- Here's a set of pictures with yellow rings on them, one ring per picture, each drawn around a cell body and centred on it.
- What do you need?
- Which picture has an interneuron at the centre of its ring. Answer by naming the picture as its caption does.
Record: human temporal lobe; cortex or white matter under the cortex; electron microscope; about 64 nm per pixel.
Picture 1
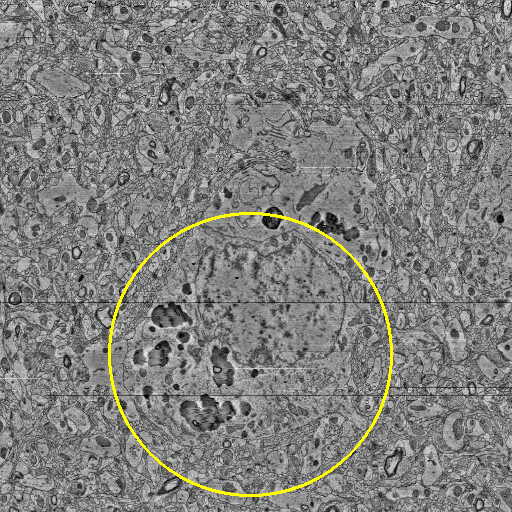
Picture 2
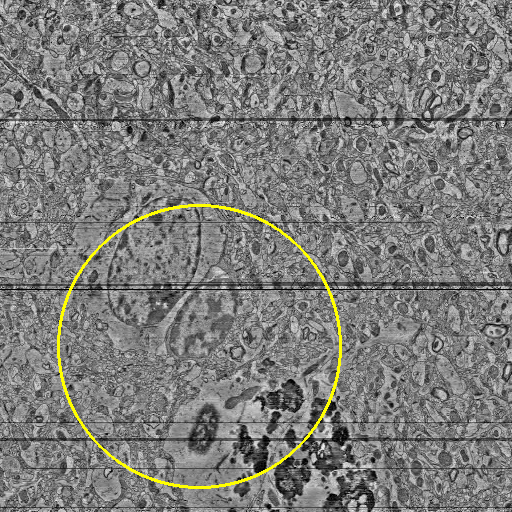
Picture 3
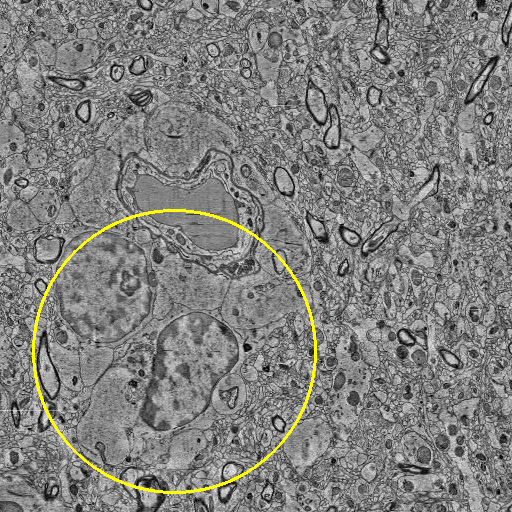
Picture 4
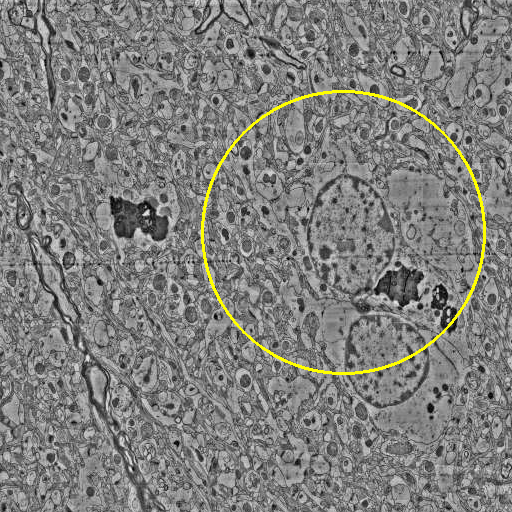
Picture 1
